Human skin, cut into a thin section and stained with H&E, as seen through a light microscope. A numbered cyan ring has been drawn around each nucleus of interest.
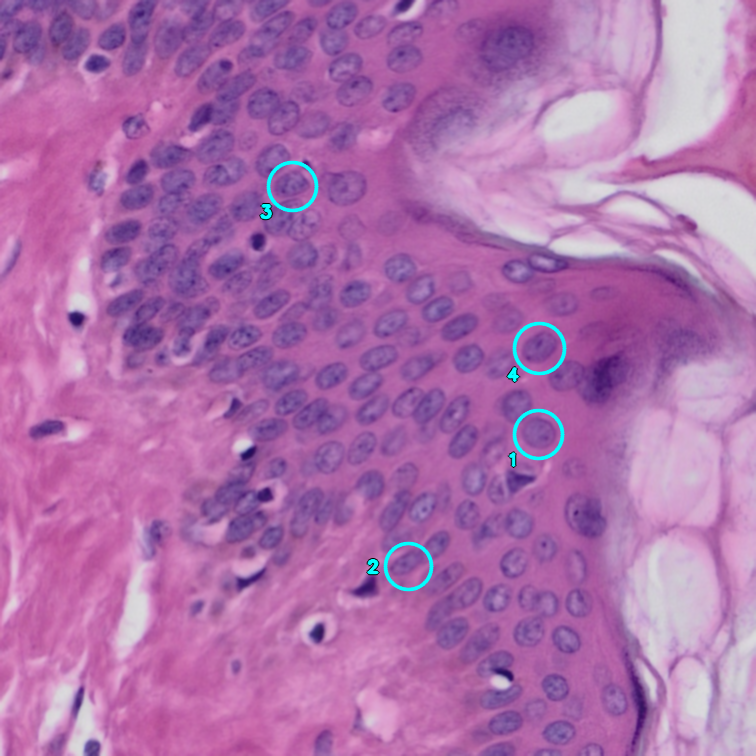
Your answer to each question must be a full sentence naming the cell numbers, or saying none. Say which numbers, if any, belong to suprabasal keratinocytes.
To be specific, the cells numbered 1, 3 and 4 are suprabasal keratinocytes.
